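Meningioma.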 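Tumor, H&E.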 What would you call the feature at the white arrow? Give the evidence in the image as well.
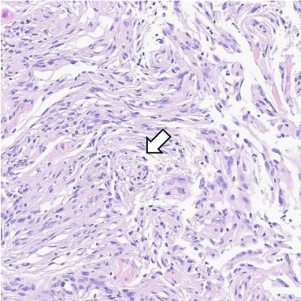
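Meningothelial whorls. The arrow points to cells wrapped concentrically around a centre. Surrounding cells are spindle-shaped with pink cytoplasm in streaming bundles.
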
